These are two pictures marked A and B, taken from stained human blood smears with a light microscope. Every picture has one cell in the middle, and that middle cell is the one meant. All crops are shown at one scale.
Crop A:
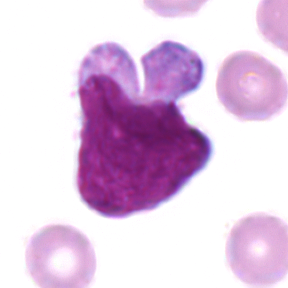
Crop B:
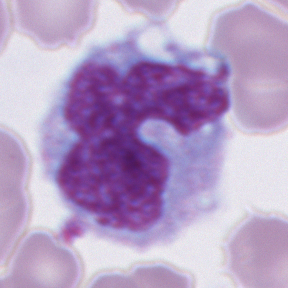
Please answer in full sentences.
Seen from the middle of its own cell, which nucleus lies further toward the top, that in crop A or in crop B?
In crop B the nucleus is shifted more toward the top.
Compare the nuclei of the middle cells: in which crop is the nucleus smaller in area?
Crop A shows the smaller nucleus, since that in crop B covers about 1.5 times as much area.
